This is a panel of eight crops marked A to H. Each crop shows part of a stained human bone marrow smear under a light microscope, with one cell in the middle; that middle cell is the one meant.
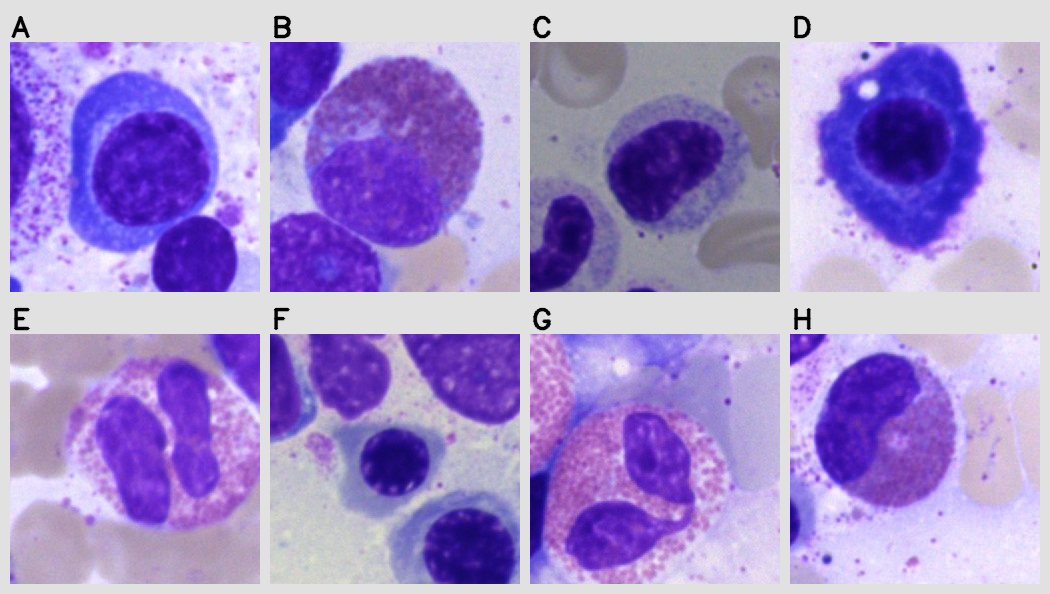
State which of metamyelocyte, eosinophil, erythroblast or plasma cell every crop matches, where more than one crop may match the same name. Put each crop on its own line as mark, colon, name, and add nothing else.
A: plasma cell
B: eosinophil
C: metamyelocyte
D: plasma cell
E: eosinophil
F: erythroblast
G: eosinophil
H: eosinophil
